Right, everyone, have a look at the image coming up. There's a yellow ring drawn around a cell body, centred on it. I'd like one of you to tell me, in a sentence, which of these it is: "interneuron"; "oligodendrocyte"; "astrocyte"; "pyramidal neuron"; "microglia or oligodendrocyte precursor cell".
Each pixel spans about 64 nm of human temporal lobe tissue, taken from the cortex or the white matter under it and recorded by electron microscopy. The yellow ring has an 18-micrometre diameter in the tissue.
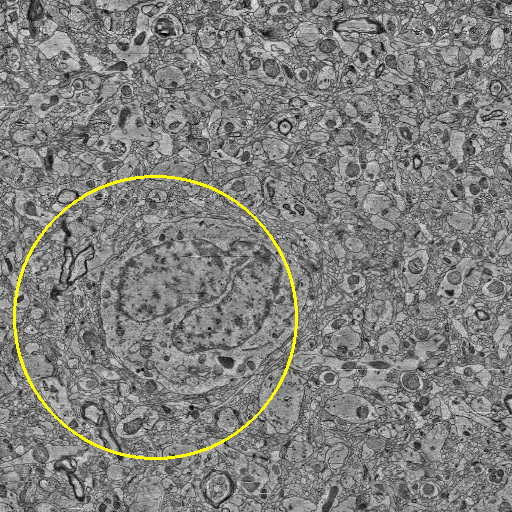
The yellow ring sits on an interneuron.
